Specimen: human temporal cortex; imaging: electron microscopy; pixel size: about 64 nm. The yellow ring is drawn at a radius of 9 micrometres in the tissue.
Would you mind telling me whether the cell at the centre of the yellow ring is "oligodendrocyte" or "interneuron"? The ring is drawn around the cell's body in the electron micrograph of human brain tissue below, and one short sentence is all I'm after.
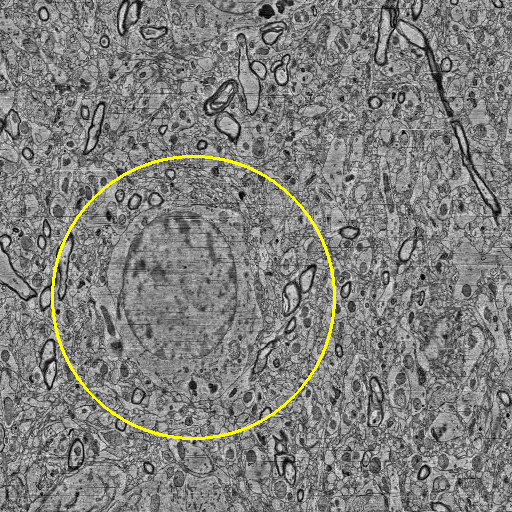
In the centre of the ring lies an interneuron.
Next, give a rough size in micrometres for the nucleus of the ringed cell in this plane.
Approximately 10 x 7 micrometres in this plane.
